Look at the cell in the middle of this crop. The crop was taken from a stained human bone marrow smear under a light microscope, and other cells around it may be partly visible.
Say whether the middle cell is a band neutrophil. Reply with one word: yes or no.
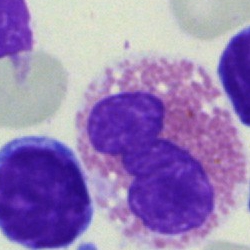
no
